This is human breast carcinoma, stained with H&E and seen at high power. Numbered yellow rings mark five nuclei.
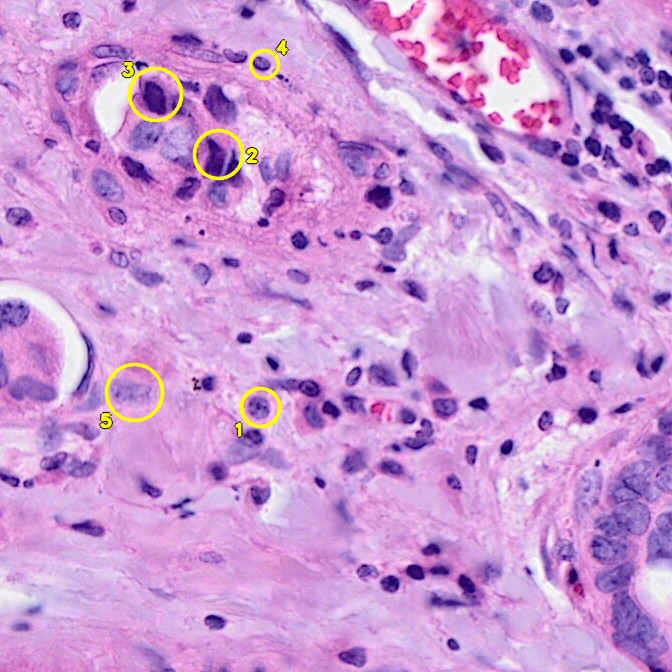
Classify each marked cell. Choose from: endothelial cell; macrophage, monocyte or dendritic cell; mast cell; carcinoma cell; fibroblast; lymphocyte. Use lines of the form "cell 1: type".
cell 1: mast cell
cell 2: carcinoma cell
cell 3: carcinoma cell
cell 4: lymphocyte
cell 5: fibroblast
